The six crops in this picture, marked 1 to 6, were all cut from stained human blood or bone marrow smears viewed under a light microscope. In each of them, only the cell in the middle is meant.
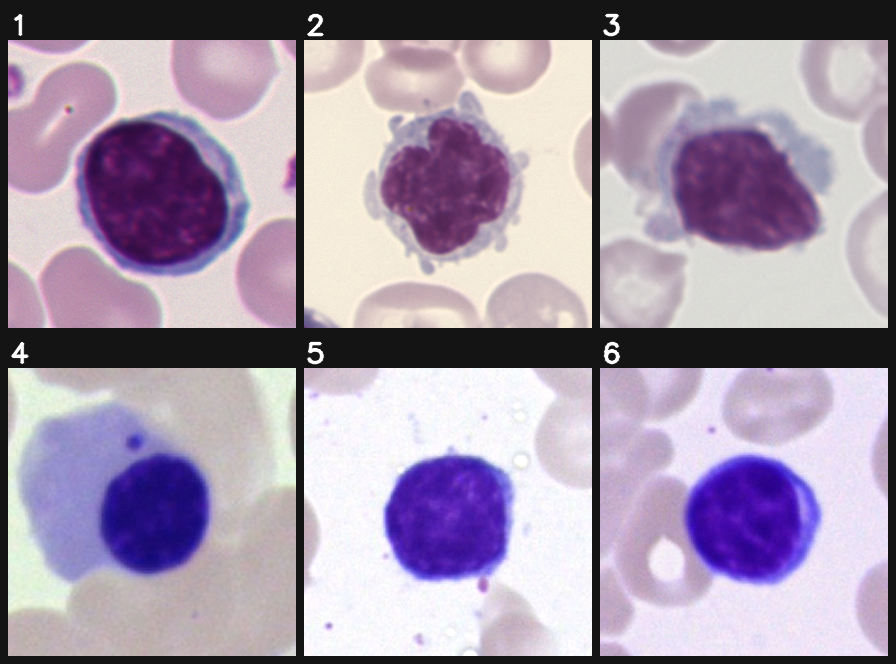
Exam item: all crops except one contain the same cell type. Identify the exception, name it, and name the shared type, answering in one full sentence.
Identified in crop 4 is a normoblast, whereas the other crops all show lymphocytes.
